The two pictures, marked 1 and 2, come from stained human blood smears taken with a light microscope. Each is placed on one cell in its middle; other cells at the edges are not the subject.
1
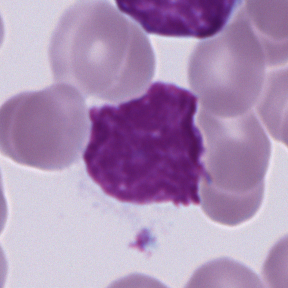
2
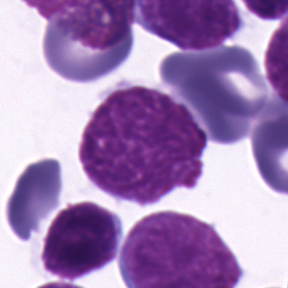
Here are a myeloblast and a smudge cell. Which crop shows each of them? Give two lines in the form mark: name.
1: smudge cell
2: myeloblast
